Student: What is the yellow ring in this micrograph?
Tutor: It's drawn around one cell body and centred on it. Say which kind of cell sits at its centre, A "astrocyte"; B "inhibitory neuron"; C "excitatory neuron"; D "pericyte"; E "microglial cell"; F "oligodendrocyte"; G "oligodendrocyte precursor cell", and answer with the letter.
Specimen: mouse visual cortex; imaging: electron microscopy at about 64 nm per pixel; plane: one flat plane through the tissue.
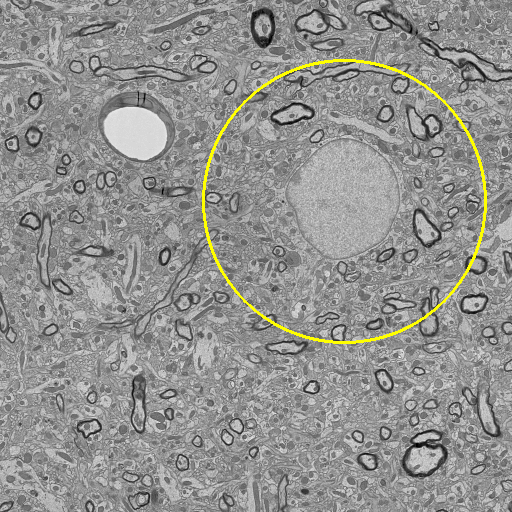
A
